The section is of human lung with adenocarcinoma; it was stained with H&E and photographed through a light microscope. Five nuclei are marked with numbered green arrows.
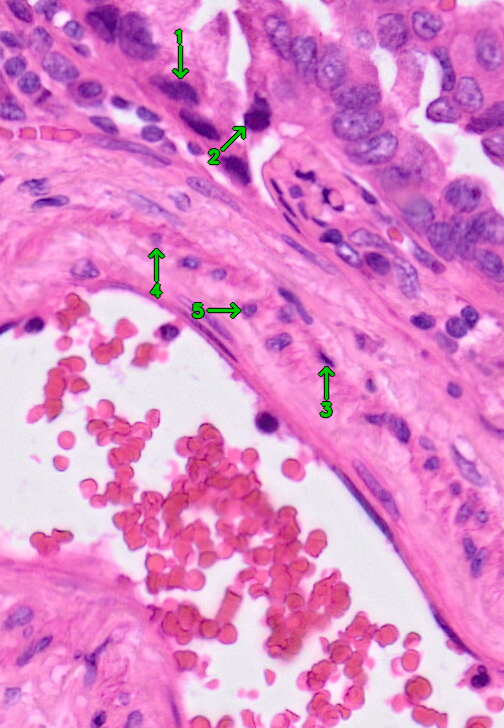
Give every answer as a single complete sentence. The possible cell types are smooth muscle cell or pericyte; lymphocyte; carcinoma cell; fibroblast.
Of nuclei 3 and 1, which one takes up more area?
The larger nucleus is 1, at roughly 4 times the area of 3.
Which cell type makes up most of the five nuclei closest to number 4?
Around number 4, most of the five nearest nuclei are those of fibroblasts.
